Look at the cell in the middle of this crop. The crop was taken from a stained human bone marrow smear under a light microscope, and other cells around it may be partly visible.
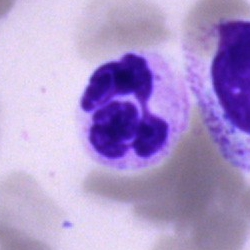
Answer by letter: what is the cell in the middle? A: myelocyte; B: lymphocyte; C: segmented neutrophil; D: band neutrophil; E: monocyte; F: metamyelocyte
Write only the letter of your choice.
C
